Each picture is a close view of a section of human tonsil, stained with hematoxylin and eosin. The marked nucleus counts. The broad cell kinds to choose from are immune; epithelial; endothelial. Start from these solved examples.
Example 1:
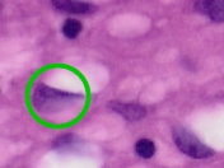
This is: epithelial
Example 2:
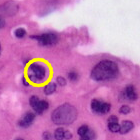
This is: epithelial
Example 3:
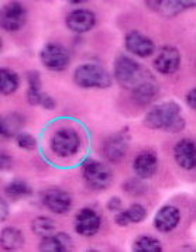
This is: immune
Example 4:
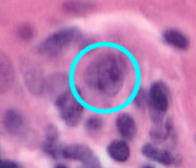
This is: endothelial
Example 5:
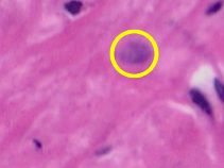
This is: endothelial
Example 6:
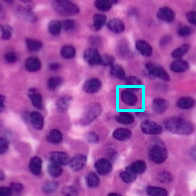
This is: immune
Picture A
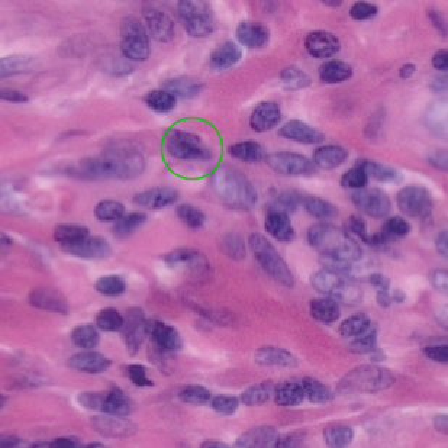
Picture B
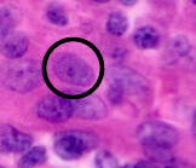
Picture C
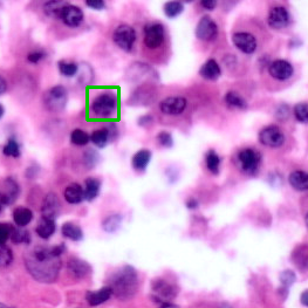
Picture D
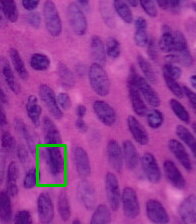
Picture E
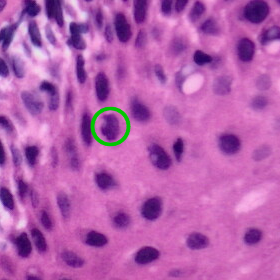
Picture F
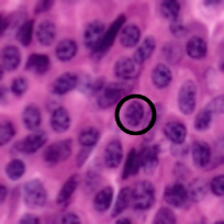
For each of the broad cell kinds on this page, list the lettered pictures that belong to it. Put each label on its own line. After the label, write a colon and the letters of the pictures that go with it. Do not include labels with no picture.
immune: C, F
epithelial: D, E
endothelial: A, B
